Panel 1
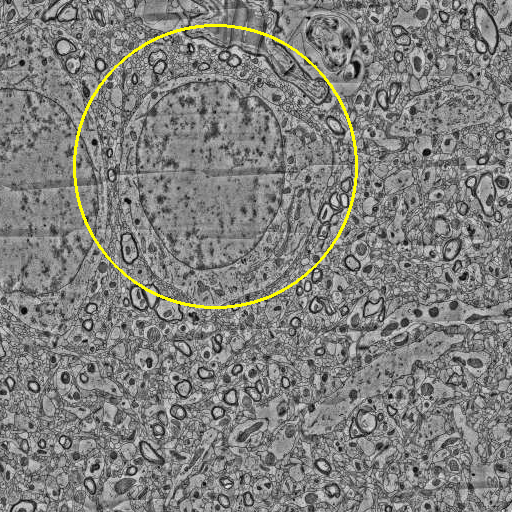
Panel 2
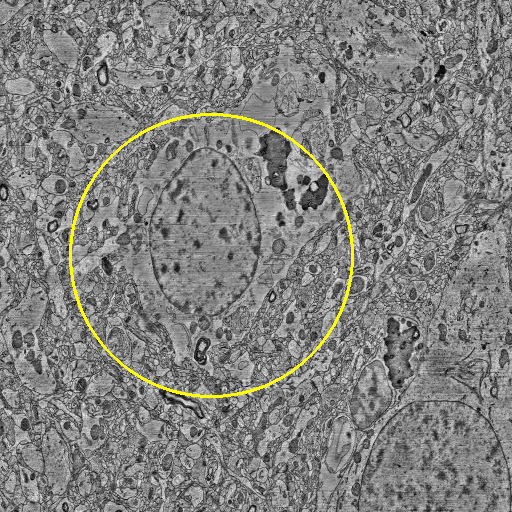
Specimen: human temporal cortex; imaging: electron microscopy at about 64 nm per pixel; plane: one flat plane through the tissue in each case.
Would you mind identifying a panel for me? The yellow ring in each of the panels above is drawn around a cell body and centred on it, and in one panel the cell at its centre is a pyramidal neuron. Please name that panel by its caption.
Panel 1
